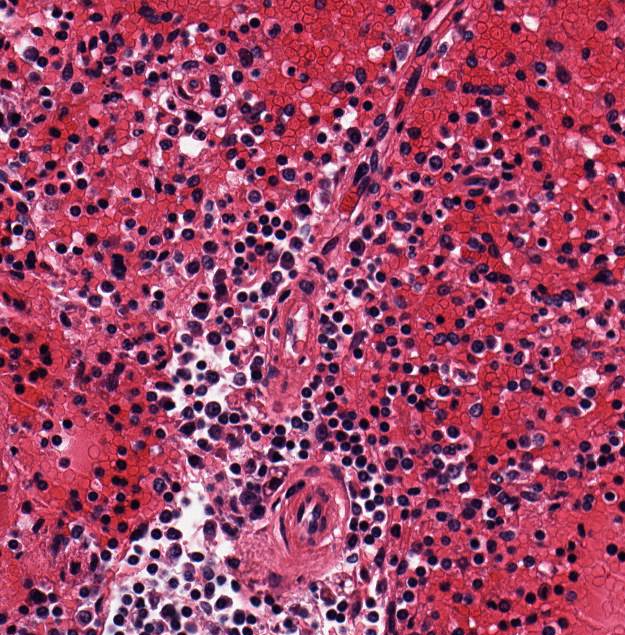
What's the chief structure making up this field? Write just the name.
red pulp of the spleen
